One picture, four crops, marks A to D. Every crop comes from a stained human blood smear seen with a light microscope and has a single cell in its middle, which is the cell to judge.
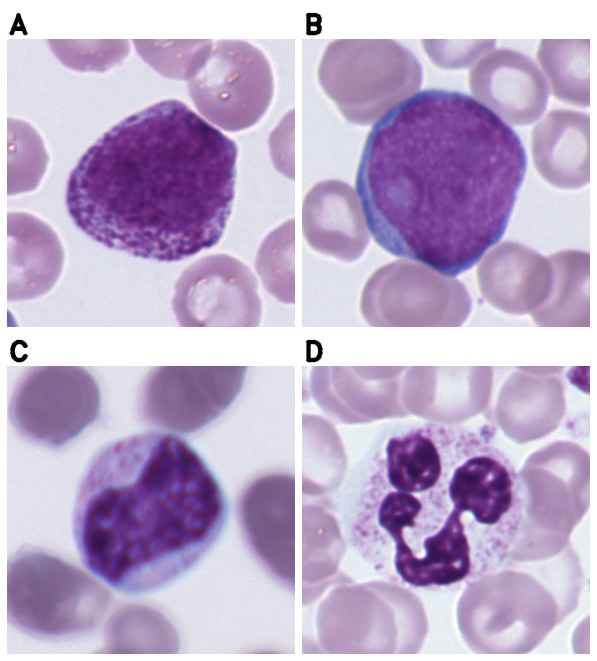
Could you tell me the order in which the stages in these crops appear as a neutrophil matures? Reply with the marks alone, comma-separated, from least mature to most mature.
B, A, C, D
